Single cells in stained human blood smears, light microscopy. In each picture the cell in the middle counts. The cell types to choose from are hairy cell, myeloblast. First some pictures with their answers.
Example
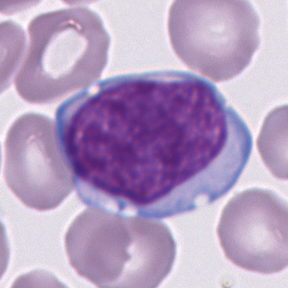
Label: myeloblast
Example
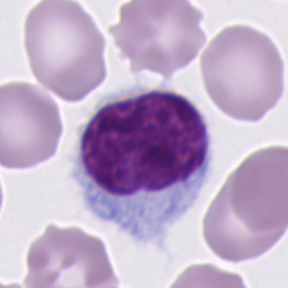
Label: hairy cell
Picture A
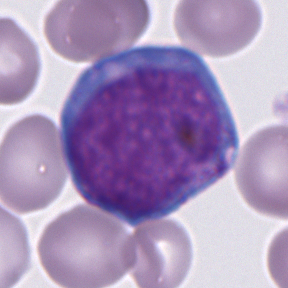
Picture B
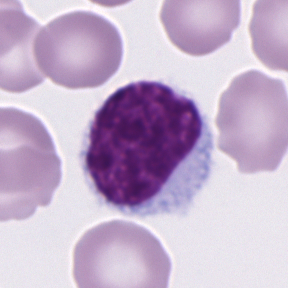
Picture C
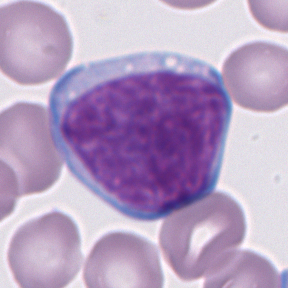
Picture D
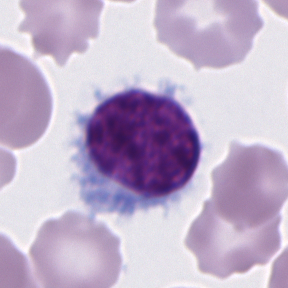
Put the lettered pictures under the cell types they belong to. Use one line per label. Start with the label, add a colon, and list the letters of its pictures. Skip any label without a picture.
hairy cell: B, D
myeloblast: A, C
